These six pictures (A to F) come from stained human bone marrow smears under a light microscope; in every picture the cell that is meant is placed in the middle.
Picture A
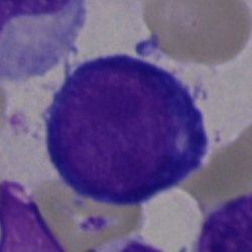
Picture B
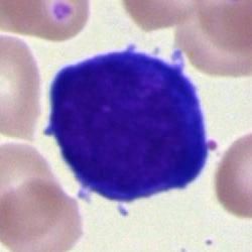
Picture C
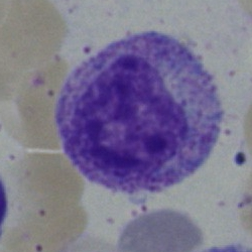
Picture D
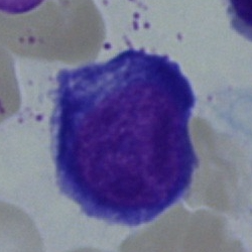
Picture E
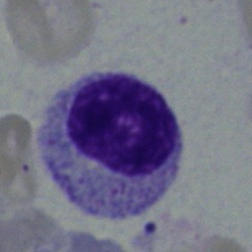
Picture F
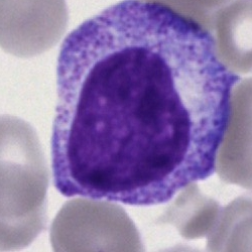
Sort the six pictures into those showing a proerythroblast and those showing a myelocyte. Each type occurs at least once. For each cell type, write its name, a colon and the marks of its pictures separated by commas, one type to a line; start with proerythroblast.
proerythroblast: A, B, D
myelocyte: C, E, F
